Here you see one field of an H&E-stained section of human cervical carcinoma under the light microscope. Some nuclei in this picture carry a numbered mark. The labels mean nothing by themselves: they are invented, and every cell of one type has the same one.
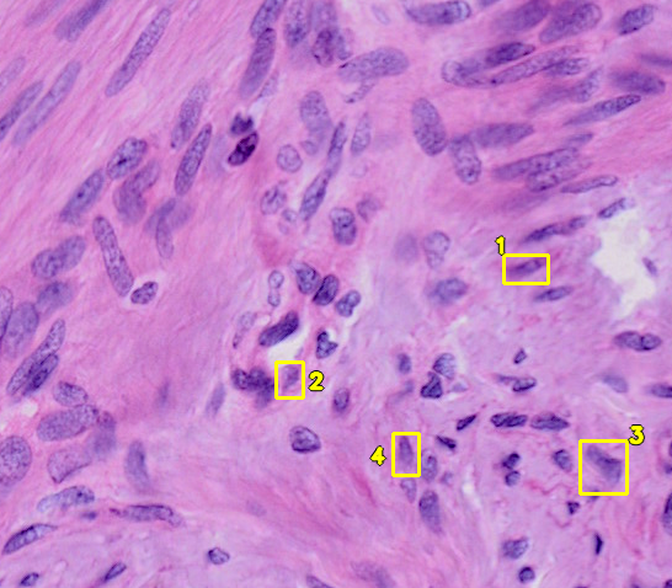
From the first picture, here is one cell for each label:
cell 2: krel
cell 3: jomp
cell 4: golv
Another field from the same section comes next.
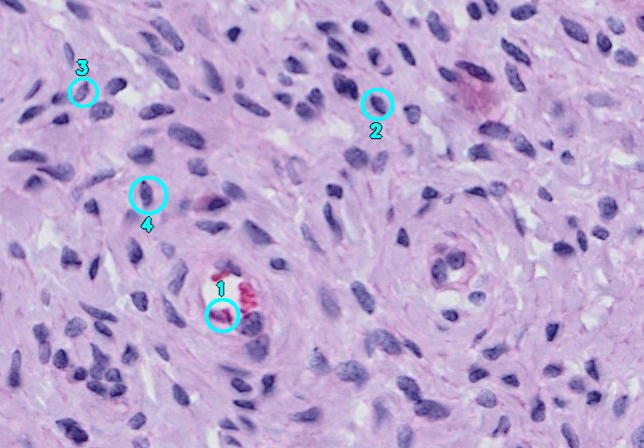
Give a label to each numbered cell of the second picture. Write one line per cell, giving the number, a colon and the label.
1: krel
2: jomp
3: jomp
4: jomp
